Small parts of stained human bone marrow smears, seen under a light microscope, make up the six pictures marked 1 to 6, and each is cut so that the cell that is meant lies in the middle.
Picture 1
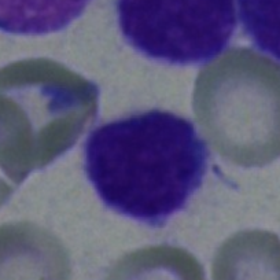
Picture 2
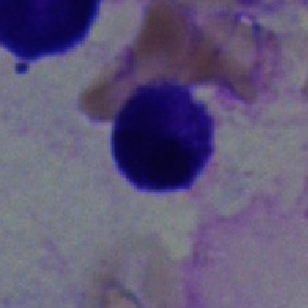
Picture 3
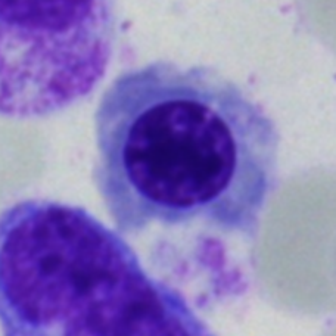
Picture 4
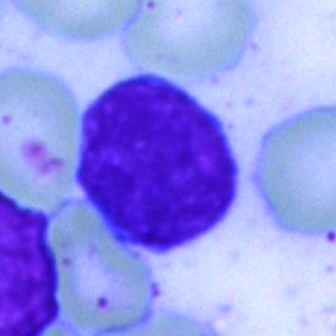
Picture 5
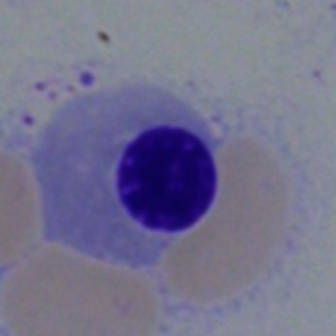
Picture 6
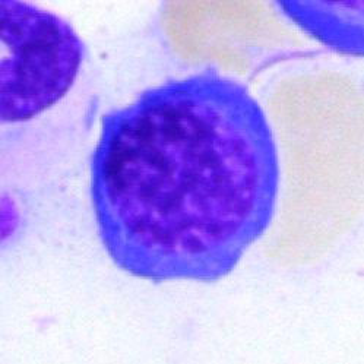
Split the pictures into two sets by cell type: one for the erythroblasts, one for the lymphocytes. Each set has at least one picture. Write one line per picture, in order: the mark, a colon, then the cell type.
1: lymphocyte
2: lymphocyte
3: erythroblast
4: lymphocyte
5: erythroblast
6: erythroblast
